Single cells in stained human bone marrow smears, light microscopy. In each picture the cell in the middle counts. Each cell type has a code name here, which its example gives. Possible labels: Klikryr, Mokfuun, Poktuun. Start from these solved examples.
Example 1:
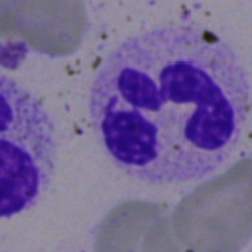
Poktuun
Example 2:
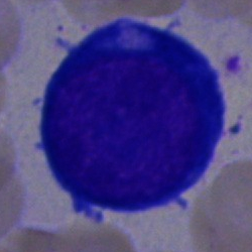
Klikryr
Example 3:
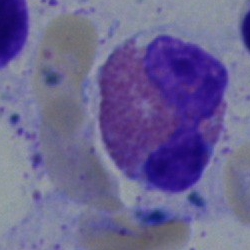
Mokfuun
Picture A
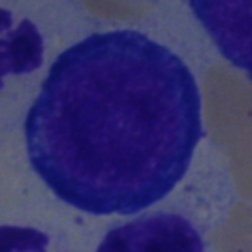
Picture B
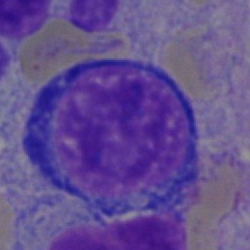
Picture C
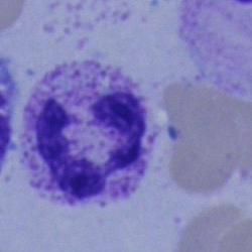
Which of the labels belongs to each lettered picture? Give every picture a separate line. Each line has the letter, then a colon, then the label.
A: Klikryr
B: Klikryr
C: Poktuun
